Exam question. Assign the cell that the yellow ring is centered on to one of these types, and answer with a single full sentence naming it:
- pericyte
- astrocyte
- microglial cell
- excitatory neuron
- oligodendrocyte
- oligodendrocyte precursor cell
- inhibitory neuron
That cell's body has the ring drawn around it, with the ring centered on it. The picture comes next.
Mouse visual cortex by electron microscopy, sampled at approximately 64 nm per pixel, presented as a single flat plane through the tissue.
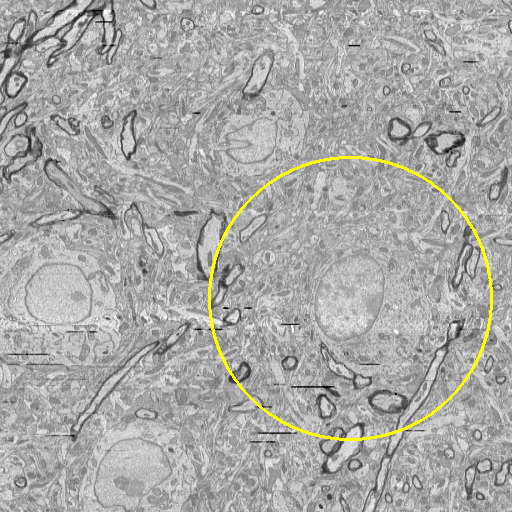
In the micrograph, the cell the yellow ring is centered on is an oligodendrocyte.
